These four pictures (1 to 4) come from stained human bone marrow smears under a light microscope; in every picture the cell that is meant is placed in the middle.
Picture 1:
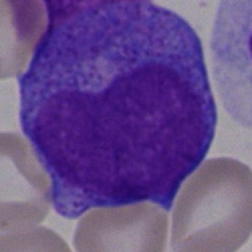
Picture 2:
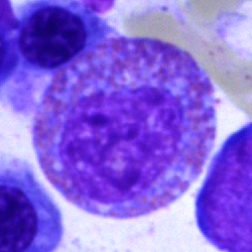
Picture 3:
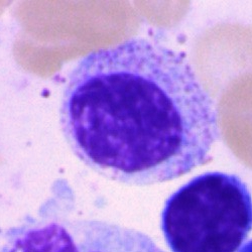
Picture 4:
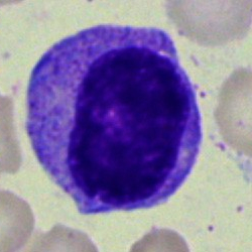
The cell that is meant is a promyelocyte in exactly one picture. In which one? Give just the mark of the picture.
1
